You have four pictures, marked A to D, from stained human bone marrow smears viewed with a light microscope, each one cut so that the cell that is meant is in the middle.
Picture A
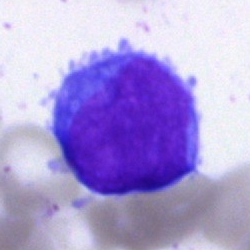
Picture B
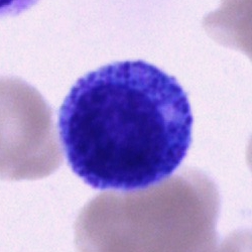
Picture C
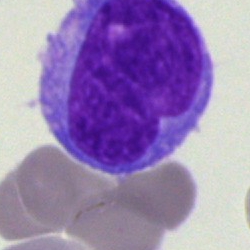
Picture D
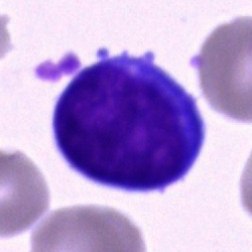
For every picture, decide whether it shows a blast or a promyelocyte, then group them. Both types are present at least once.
A: blast
B: promyelocyte
C: blast
D: blast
